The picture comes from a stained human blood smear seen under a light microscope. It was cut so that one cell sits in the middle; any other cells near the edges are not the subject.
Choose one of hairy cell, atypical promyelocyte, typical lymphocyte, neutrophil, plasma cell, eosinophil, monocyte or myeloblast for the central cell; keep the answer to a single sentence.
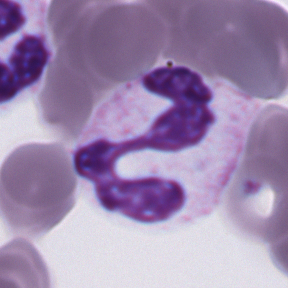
Classification of the middle cell gives a neutrophil.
